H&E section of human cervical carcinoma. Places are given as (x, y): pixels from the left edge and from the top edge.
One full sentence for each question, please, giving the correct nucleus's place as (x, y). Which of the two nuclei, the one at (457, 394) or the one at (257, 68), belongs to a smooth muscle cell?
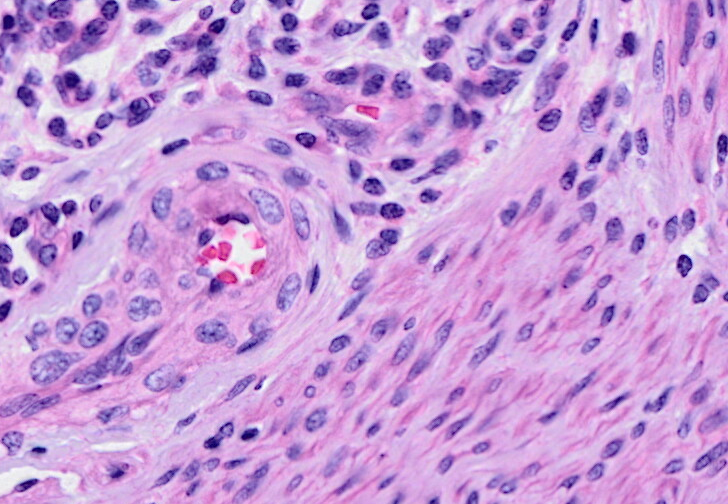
The nucleus found at (457, 394) belongs to a smooth muscle cell.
